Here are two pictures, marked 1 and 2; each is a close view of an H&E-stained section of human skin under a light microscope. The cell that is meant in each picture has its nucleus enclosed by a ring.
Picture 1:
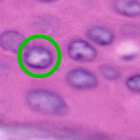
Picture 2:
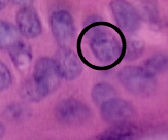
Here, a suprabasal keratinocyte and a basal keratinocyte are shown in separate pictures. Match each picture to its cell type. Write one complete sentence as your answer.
Picture 1 shows a suprabasal keratinocyte and picture 2 shows a basal keratinocyte.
